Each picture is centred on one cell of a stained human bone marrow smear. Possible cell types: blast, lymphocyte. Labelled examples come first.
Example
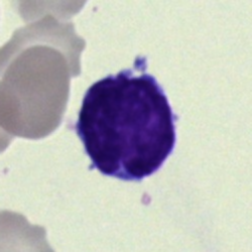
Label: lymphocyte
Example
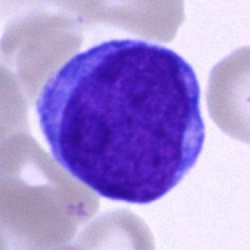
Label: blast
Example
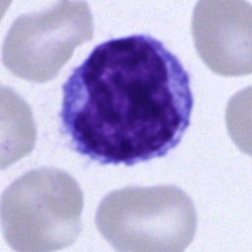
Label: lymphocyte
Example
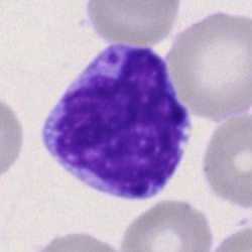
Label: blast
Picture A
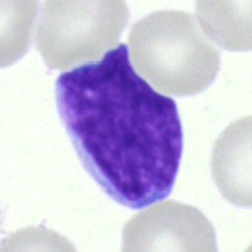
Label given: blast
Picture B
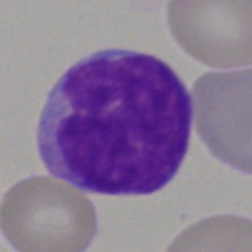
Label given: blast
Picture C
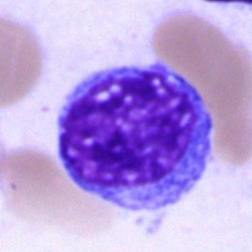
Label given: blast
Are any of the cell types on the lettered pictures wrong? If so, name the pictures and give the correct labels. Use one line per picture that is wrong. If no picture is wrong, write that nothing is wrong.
All correct.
